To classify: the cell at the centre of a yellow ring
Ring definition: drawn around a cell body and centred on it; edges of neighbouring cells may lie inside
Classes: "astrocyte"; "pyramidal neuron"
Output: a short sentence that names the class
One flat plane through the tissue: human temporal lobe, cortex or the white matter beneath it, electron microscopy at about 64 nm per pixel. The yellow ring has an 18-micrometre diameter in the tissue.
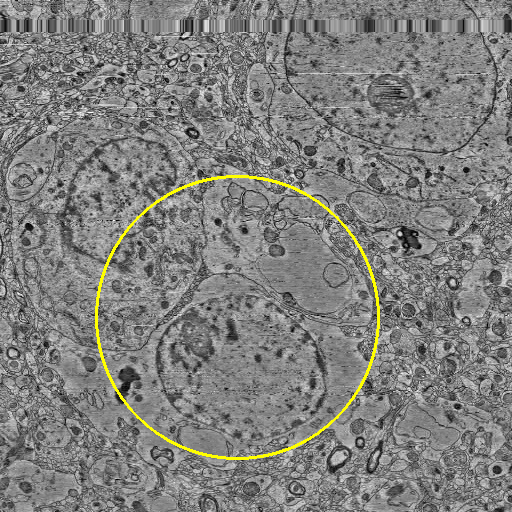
The ringed cell is an astrocyte.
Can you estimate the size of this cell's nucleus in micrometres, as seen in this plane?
In this plane the nucleus spans approximately 11 by 9 micrometers.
